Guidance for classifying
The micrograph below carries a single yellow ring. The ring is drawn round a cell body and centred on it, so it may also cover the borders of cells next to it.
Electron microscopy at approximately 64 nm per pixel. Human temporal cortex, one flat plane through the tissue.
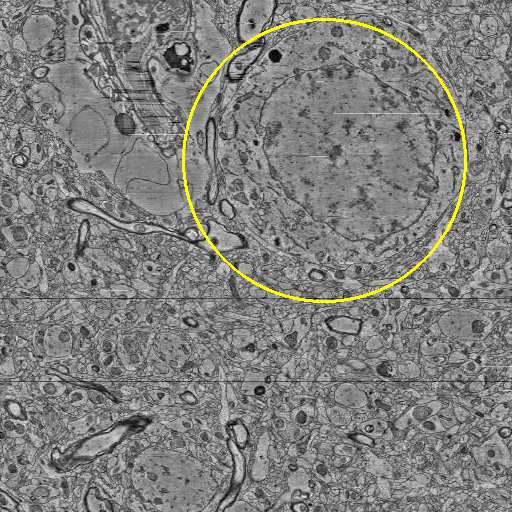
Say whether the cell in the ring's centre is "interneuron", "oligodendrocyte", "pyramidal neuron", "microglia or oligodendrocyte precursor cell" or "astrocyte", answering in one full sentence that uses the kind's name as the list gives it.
Within the yellow ring, a pyramidal neuron is the cell whose body sits at the centre.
